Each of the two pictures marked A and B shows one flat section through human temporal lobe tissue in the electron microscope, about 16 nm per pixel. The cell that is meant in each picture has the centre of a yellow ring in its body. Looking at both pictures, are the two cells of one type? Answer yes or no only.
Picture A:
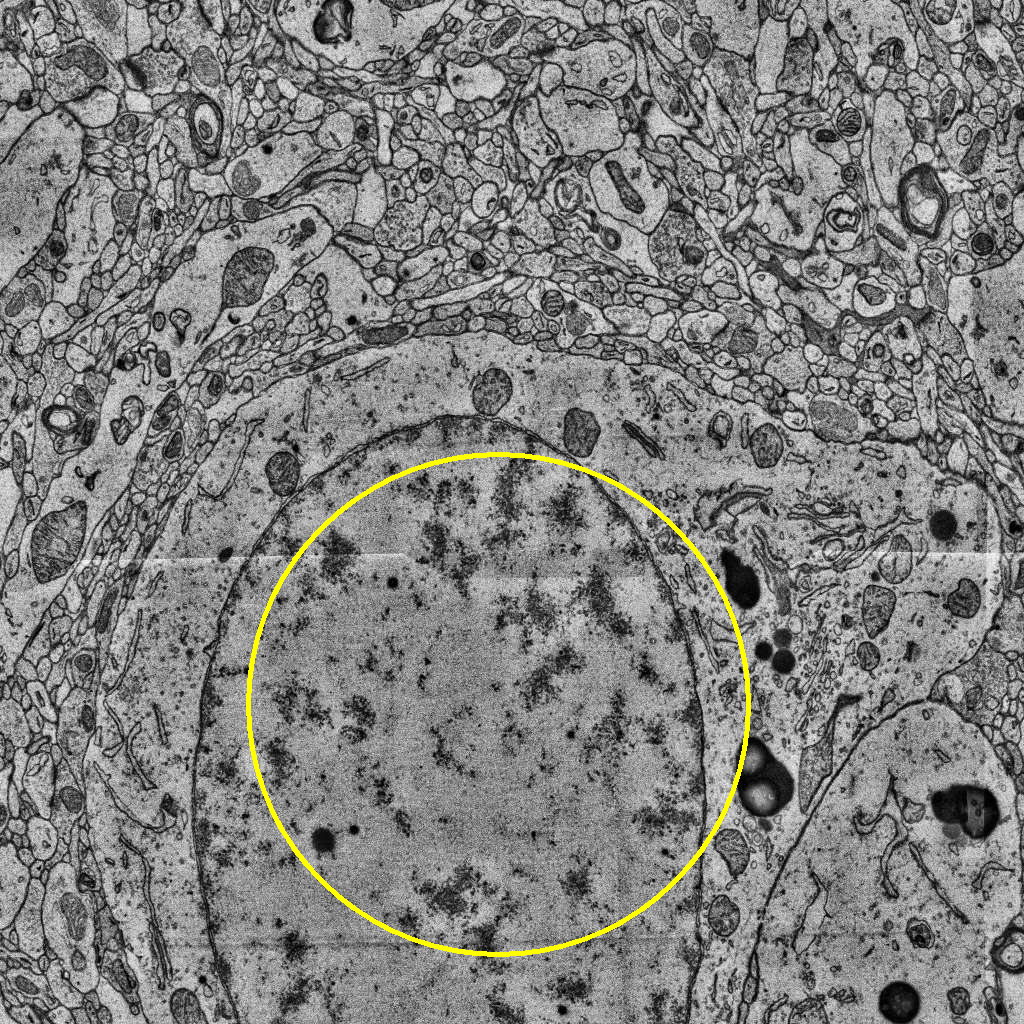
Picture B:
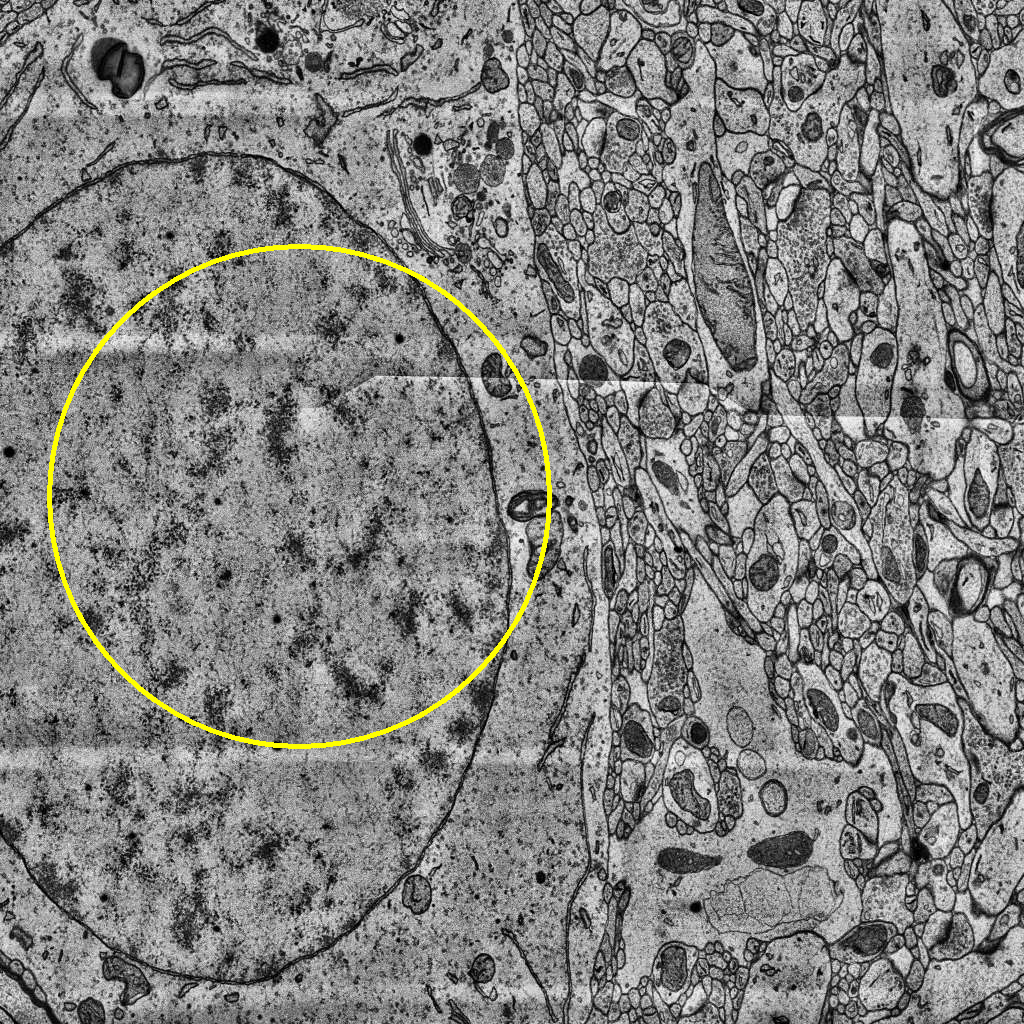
yes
